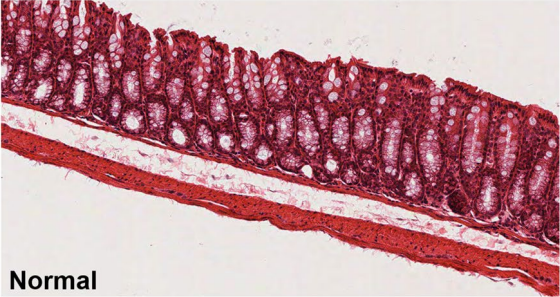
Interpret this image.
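This is a section of colon wall showing a mucosa of straight, evenly spaced tubular crypts that reach from the flat luminal surface down to the muscularis mucosae. The crypt epithelium is crowded with goblet cells, seen as pale, clear rounded vacuoles between the purple-nucleated columnar cells. Between the crypts lies a thin lamina propria with scattered nuclei. Beneath the mucosa runs a pale, loosely textured submucosa, and below that a band of pink-staining smooth muscle forms the muscle coat. The layers are sharply separated and the surface epithelium is continuous.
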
